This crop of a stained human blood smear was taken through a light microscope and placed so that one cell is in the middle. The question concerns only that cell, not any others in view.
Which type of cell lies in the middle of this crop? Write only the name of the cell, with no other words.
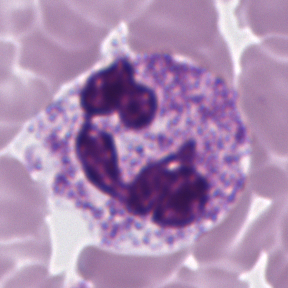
segmented neutrophil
